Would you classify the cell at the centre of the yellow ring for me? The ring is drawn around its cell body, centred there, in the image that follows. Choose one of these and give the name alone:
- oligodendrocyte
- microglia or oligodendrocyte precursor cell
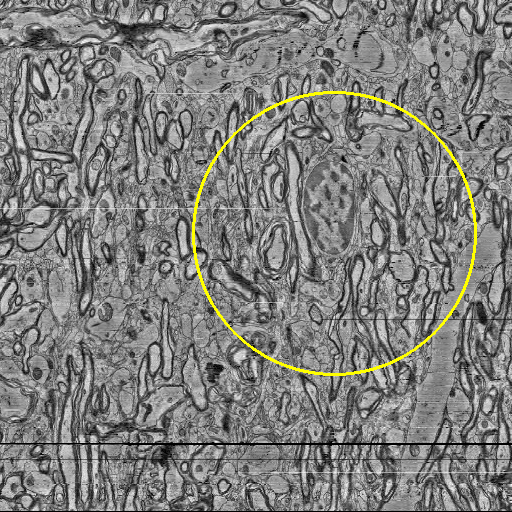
microglia or oligodendrocyte precursor cell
